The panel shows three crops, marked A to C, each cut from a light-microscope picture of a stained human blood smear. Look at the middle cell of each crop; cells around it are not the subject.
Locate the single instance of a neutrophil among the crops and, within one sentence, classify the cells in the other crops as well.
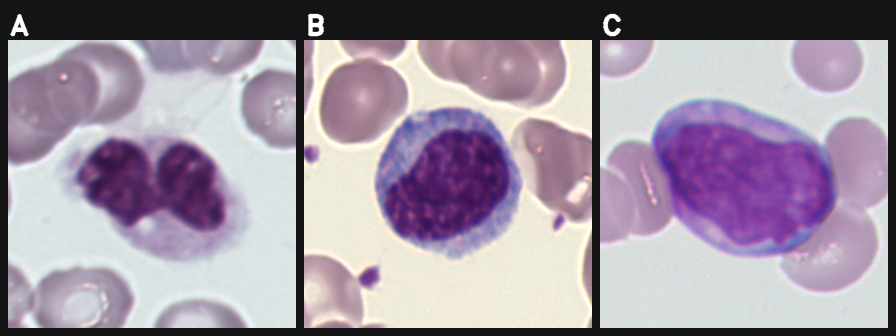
To sum up, crop A shows a neutrophil, while crop B is a monocyte and crop C is an atypical promyelocyte.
